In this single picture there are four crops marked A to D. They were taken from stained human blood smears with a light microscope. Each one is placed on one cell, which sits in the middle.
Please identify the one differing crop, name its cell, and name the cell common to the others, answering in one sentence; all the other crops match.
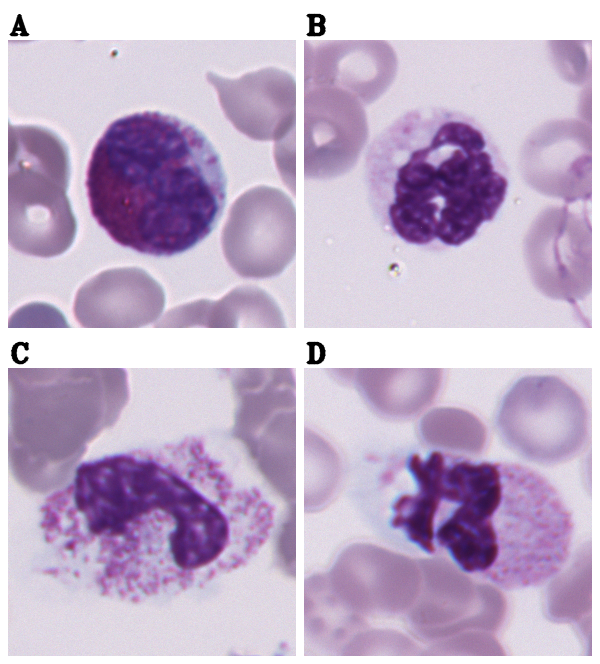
Crop A differs from the others in showing an eosinophil; the rest all show segmented neutrophils.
